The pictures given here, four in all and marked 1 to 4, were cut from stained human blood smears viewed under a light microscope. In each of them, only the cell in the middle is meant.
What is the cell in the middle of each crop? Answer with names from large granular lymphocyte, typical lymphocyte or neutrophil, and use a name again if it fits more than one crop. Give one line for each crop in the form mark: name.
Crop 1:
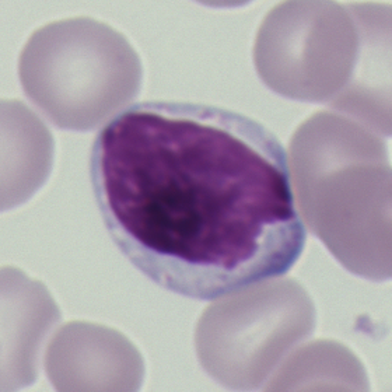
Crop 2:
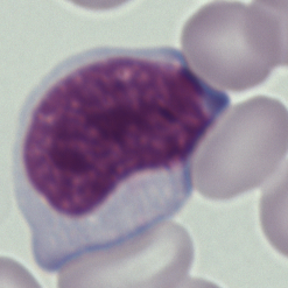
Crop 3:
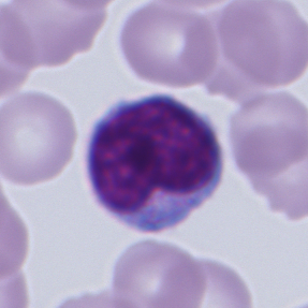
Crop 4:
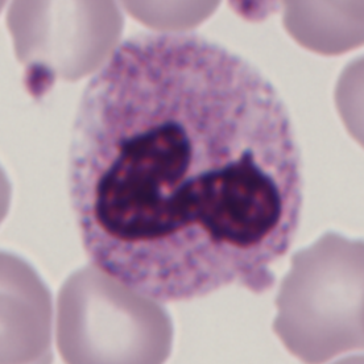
1: large granular lymphocyte
2: typical lymphocyte
3: typical lymphocyte
4: neutrophil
